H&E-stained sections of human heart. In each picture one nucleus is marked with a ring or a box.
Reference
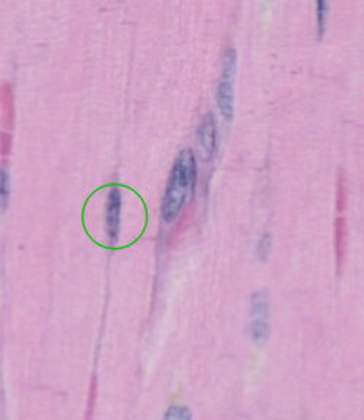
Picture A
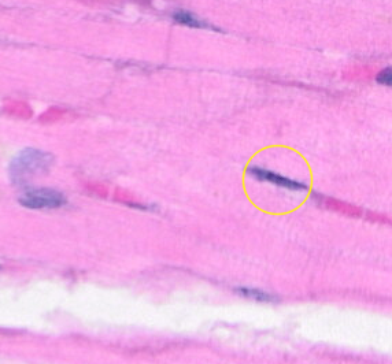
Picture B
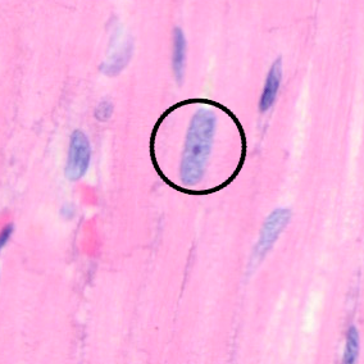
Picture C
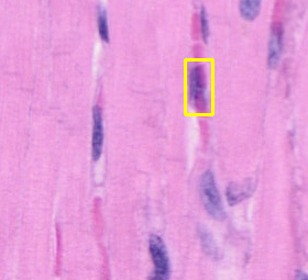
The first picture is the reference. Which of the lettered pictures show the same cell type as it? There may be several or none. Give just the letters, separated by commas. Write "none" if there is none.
A, C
